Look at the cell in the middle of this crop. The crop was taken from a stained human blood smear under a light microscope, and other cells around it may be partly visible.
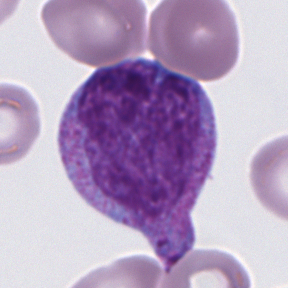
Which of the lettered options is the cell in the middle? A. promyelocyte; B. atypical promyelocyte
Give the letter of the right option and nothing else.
B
